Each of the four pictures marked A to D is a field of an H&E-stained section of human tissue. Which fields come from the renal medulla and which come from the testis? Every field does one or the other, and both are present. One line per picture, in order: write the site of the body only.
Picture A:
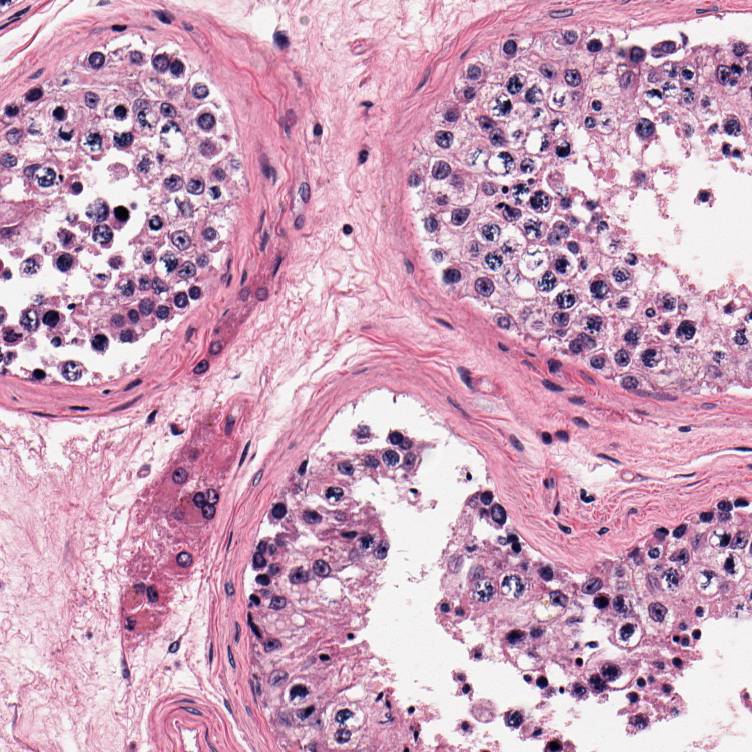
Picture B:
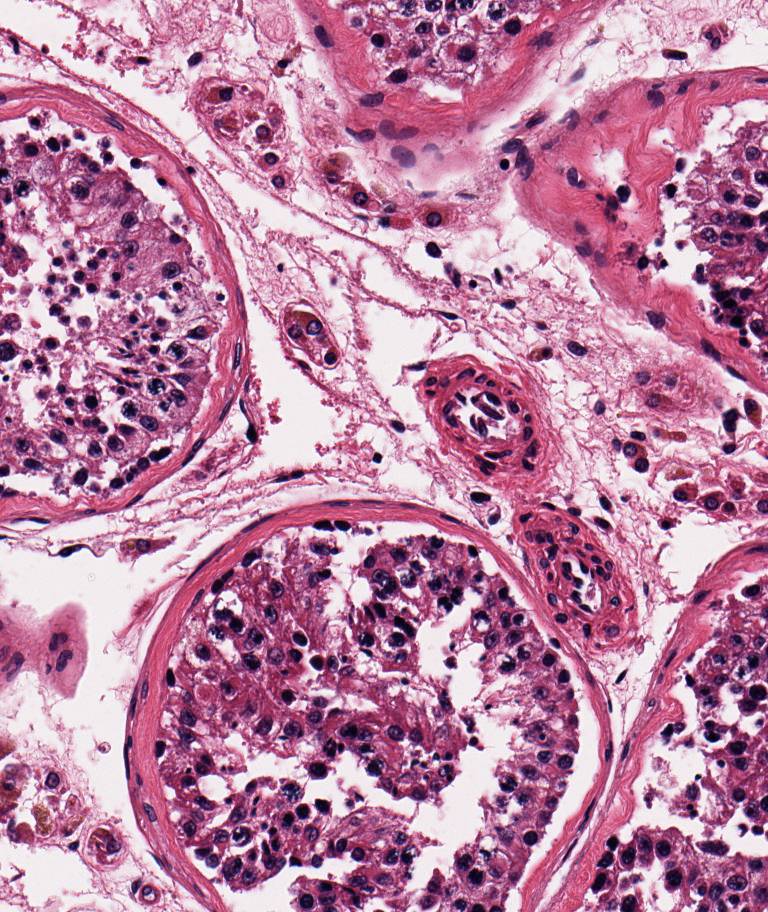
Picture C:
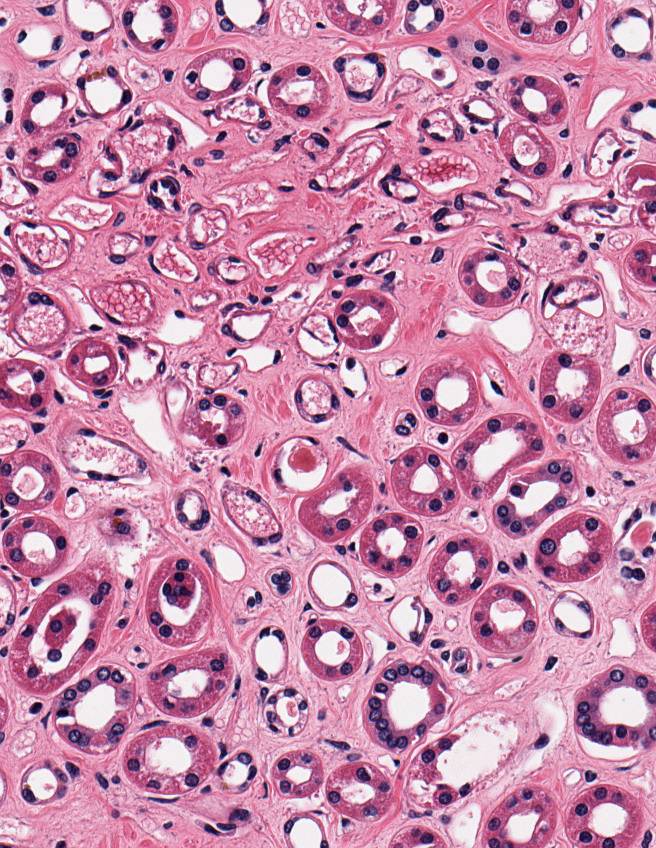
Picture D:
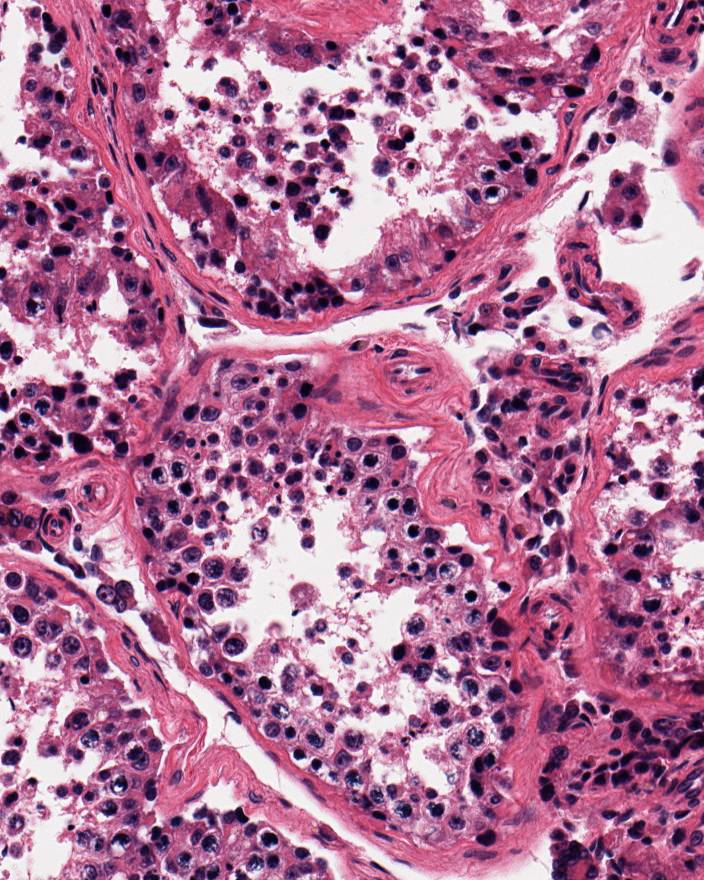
testis
testis
renal medulla
testis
